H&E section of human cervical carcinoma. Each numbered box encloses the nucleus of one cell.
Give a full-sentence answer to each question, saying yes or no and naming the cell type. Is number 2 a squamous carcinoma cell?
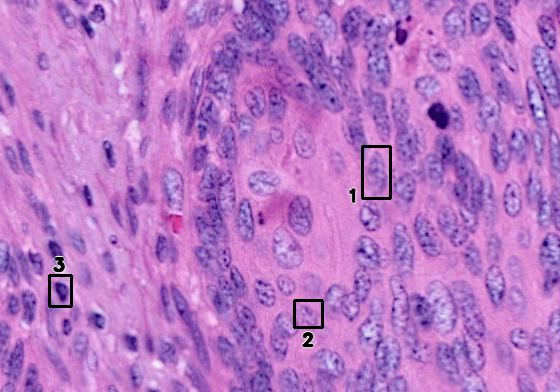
Yes, the cell carrying number 2 is a squamous carcinoma cell.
